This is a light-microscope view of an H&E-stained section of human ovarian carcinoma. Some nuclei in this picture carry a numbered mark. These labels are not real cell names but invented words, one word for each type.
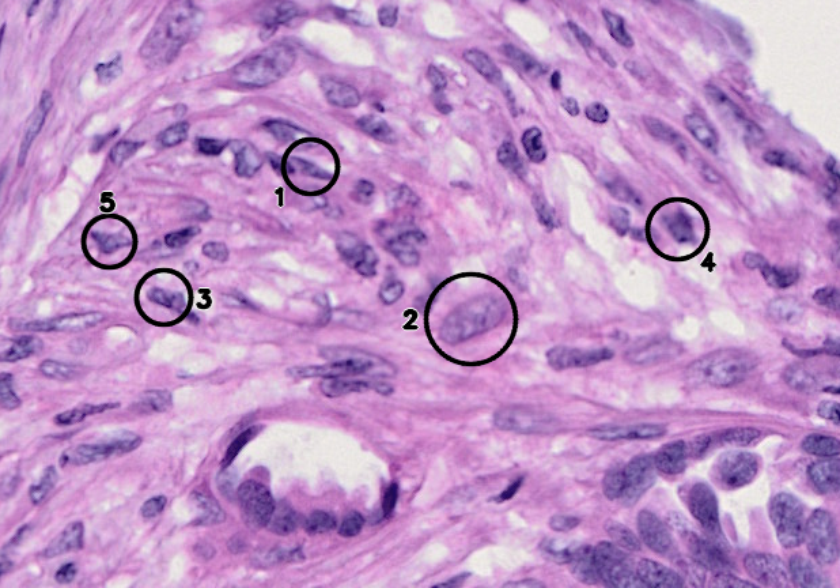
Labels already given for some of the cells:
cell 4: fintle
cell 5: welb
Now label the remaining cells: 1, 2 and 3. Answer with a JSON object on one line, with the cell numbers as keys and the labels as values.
{"1": "welb", "2": "welb", "3": "fintle"}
